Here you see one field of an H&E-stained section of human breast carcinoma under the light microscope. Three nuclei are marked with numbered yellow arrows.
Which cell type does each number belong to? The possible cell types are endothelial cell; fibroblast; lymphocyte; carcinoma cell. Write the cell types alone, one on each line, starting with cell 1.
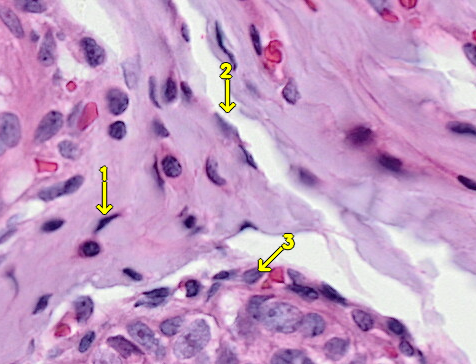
fibroblast
fibroblast
endothelial cell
